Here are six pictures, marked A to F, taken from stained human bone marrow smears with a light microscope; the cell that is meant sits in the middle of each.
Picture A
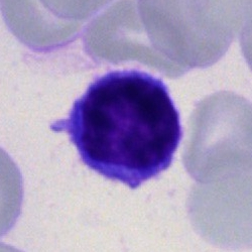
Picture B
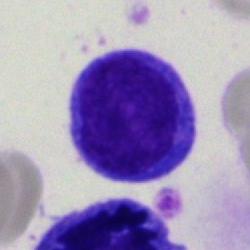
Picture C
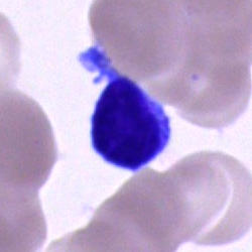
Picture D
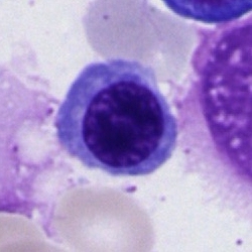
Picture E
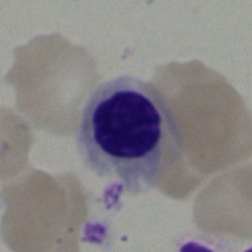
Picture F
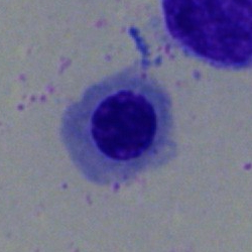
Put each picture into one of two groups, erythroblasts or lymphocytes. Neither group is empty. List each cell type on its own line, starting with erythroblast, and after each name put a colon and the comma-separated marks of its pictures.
erythroblast: D, E, F
lymphocyte: A, B, C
